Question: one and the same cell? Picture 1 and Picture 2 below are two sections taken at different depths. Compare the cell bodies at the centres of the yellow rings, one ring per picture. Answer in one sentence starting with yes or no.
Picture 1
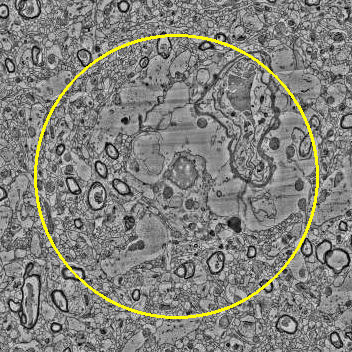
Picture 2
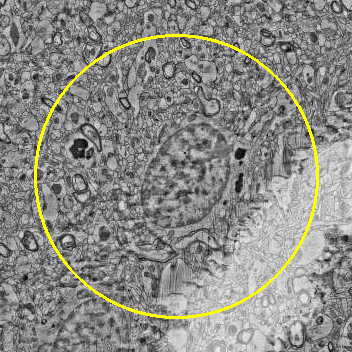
No, in this micrograph the two rings mark two different cells.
